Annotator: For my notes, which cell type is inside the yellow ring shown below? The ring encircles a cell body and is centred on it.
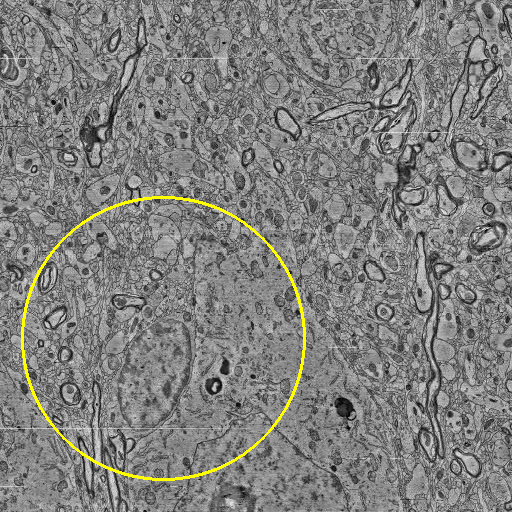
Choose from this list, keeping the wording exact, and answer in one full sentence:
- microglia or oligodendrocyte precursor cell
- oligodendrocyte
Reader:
At the centre of the yellow ring there is an oligodendrocyte, as shown in the picture.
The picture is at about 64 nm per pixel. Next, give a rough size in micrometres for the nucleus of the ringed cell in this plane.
The ringed cell's nucleus is roughly 7 by 4 micrometres and clearly longer than it is wide in this plane.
